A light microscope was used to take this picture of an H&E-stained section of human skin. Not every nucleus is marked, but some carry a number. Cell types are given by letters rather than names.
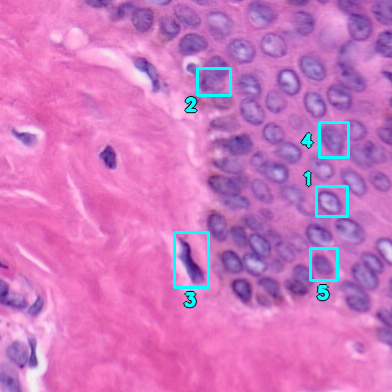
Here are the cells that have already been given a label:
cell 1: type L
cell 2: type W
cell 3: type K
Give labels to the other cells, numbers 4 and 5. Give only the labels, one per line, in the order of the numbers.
type L
type W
